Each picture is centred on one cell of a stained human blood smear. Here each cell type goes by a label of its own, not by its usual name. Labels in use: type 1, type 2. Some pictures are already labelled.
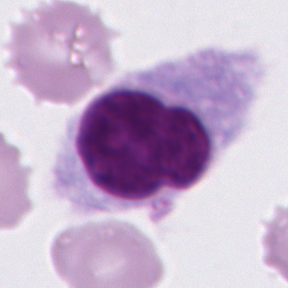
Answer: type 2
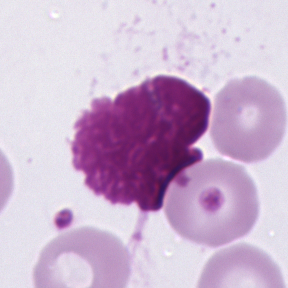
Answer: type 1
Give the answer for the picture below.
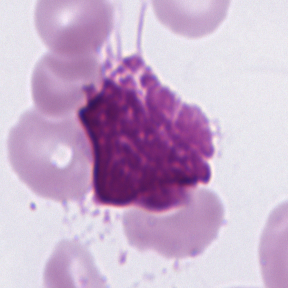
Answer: type 1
